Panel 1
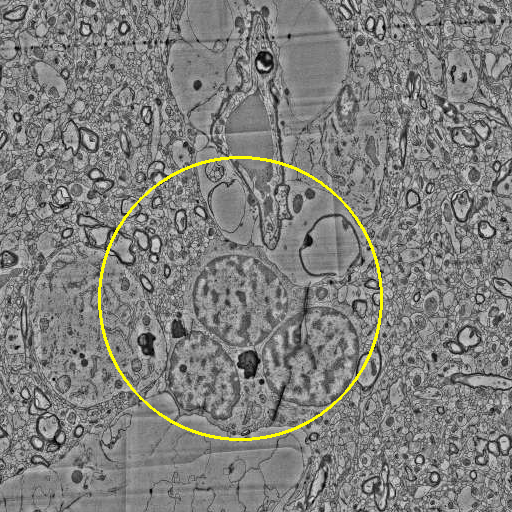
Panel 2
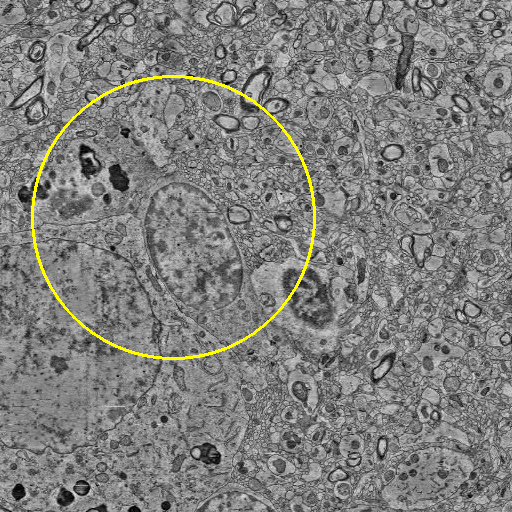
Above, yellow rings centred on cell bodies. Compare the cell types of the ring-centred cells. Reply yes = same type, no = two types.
yes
